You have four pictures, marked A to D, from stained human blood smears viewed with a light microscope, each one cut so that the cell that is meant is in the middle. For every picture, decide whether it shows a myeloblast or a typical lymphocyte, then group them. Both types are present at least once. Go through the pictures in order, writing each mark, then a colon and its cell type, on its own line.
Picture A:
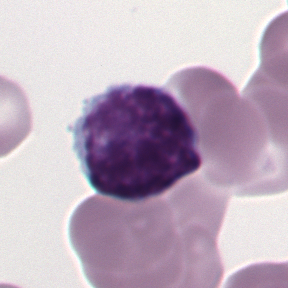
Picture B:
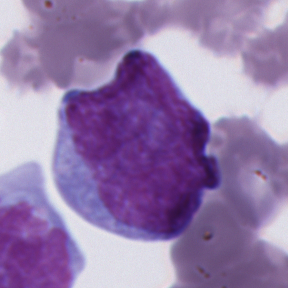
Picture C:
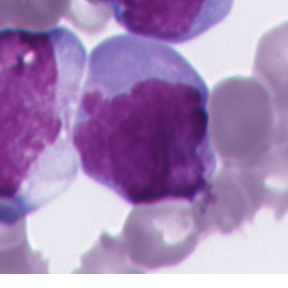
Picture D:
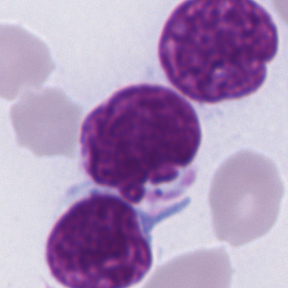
A: typical lymphocyte
B: myeloblast
C: myeloblast
D: myeloblast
